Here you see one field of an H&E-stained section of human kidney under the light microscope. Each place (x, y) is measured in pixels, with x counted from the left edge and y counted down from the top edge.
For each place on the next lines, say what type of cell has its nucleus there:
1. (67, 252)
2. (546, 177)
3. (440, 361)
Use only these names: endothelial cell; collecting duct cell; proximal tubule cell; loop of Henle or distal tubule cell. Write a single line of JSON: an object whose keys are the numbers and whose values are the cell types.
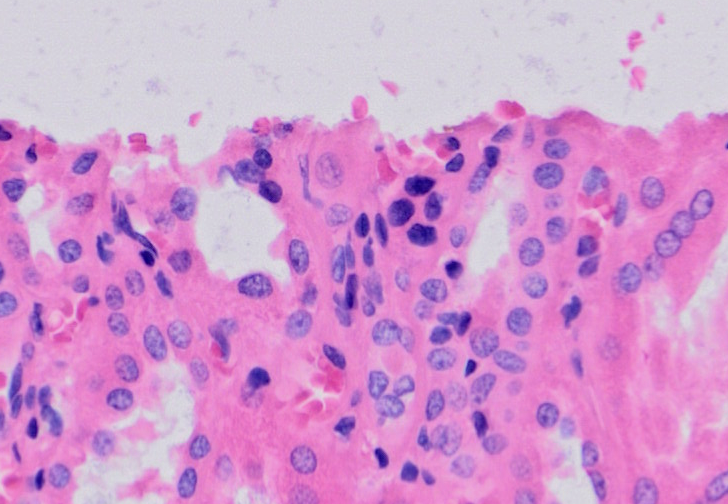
{"1": "loop of Henle or distal tubule cell", "2": "collecting duct cell", "3": "collecting duct cell"}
